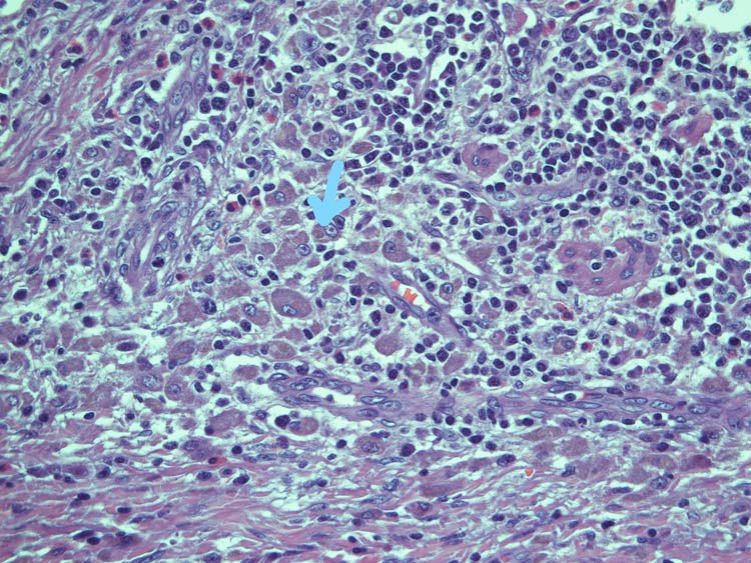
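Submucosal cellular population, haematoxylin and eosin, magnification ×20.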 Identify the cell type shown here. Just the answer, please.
Histiocytic elements.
